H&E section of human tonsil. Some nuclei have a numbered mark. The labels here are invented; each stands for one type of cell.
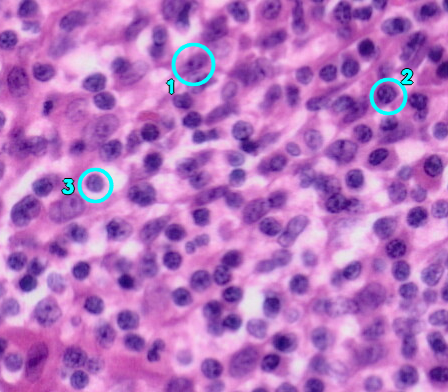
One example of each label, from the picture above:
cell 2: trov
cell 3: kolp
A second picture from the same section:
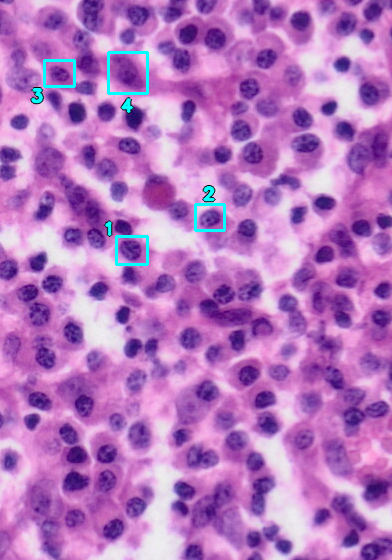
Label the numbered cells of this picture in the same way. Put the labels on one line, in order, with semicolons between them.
trov; trov; trov; kolp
